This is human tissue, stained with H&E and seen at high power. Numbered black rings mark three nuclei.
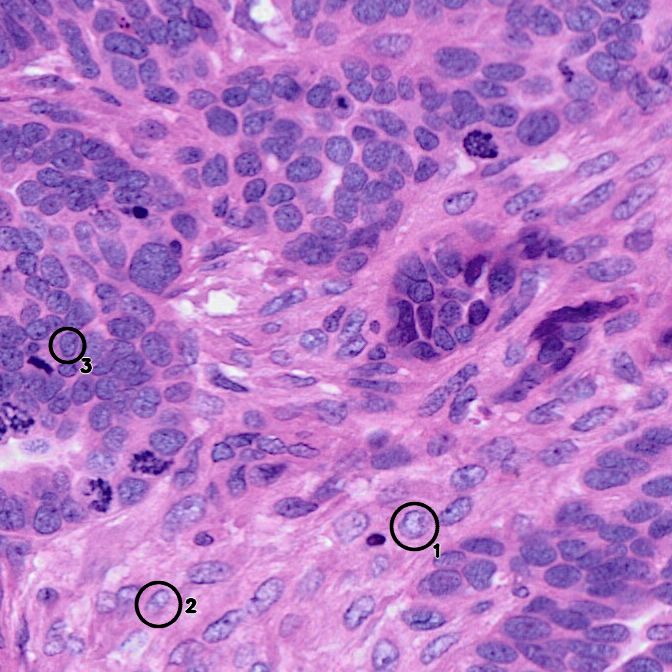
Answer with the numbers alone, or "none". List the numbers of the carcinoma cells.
3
